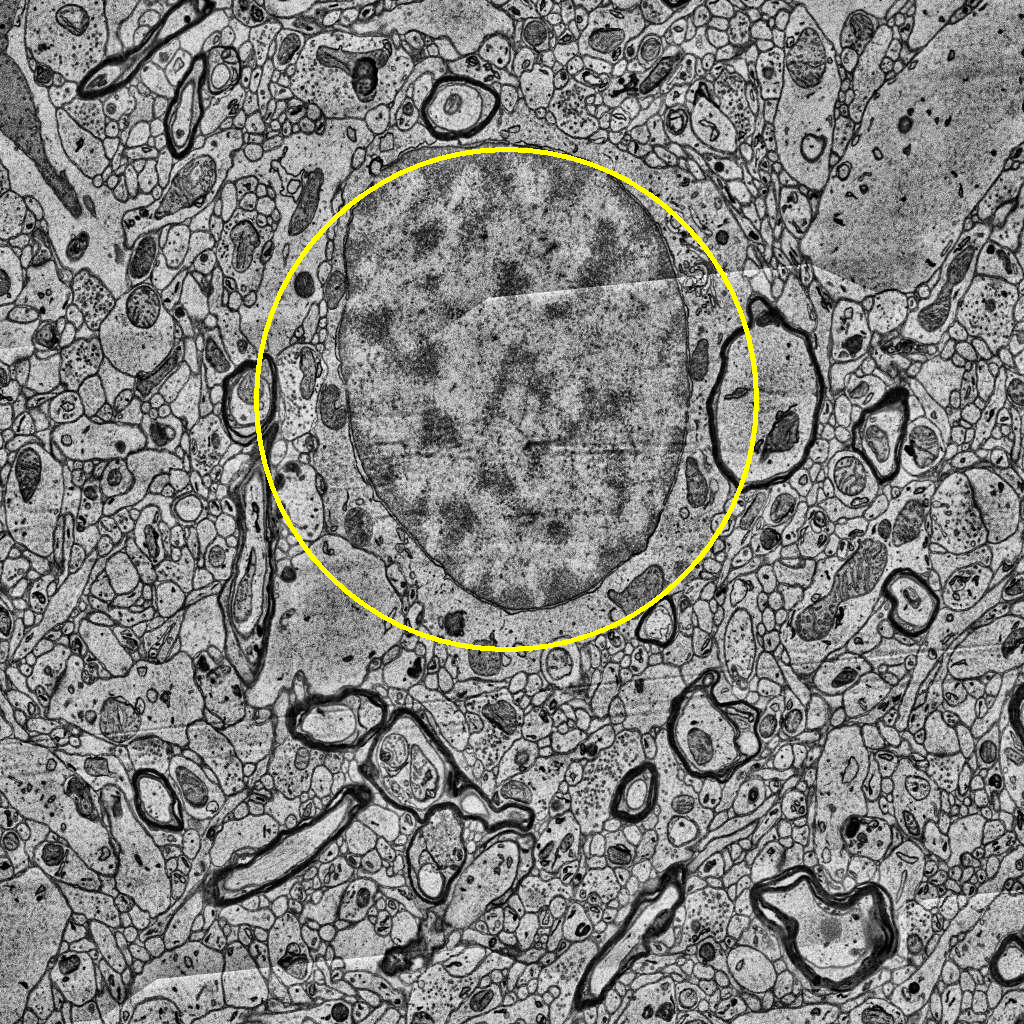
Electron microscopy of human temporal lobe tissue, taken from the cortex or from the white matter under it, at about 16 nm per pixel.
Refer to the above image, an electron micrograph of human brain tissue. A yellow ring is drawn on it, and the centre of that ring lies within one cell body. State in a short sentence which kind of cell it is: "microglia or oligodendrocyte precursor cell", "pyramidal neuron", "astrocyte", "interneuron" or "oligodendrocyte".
The centre of the ring falls on an oligodendrocyte.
